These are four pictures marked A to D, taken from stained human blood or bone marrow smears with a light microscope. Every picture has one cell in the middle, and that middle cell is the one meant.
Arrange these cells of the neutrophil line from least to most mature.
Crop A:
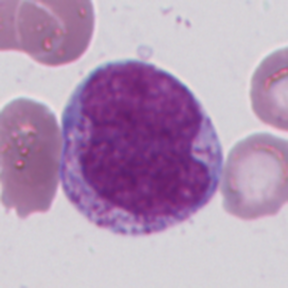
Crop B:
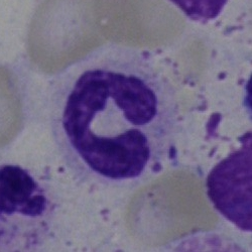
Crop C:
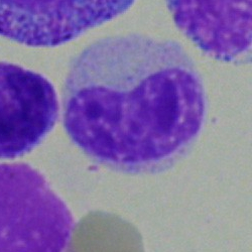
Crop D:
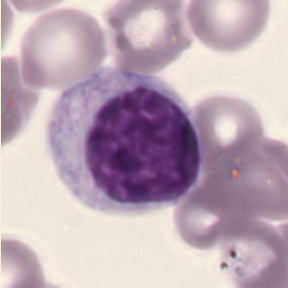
A, D, C, B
